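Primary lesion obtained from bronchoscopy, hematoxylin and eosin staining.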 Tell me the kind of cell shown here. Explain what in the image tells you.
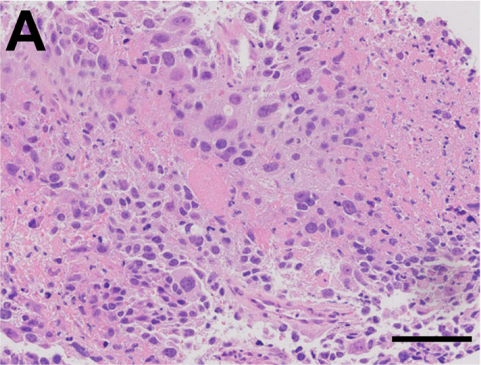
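Many cells have very large, dark-staining nuclei. Some cells are multinucleated or giant.
Large tumor cells.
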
